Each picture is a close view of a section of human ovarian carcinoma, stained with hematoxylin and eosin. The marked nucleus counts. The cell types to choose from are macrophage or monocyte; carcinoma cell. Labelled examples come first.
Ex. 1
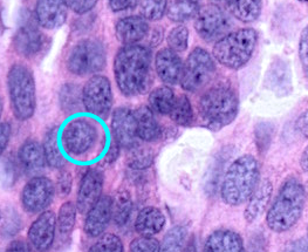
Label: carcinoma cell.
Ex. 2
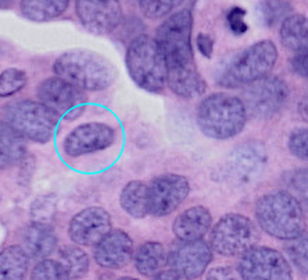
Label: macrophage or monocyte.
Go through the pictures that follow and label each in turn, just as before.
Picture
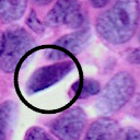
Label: carcinoma cell.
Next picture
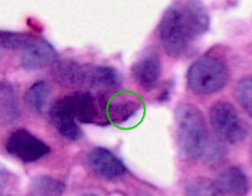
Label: carcinoma cell.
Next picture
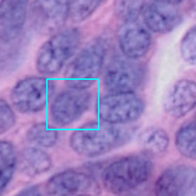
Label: carcinoma cell.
